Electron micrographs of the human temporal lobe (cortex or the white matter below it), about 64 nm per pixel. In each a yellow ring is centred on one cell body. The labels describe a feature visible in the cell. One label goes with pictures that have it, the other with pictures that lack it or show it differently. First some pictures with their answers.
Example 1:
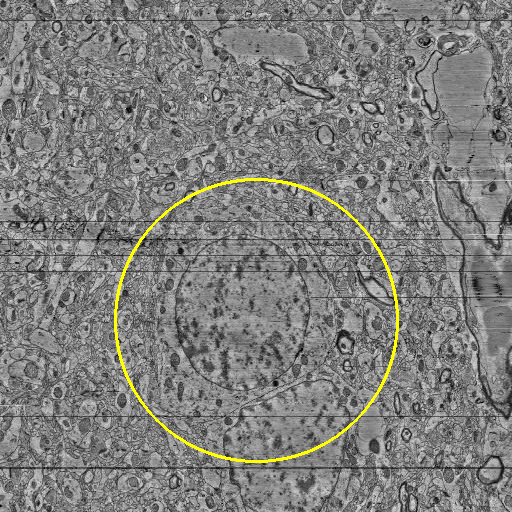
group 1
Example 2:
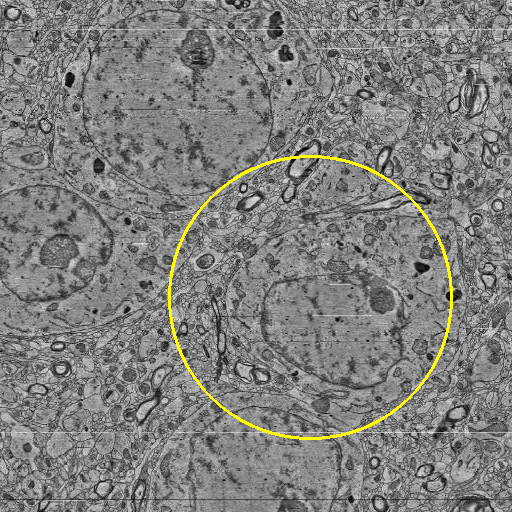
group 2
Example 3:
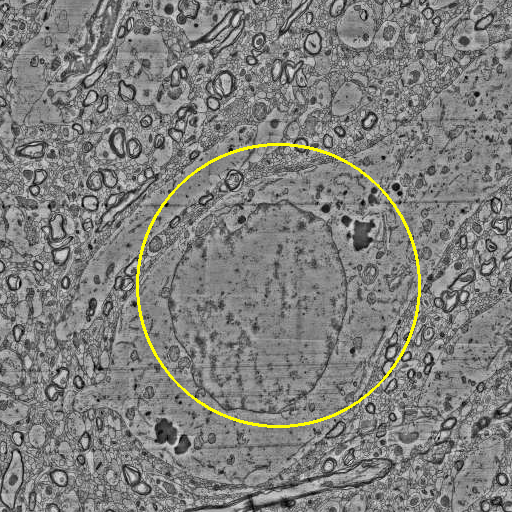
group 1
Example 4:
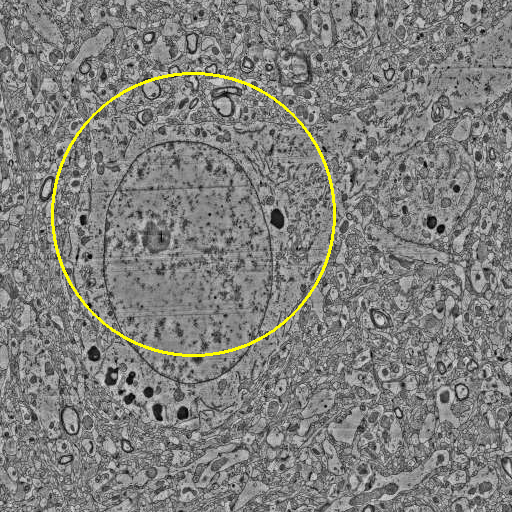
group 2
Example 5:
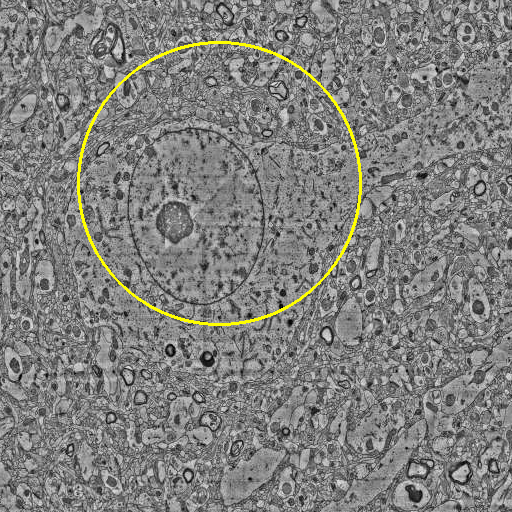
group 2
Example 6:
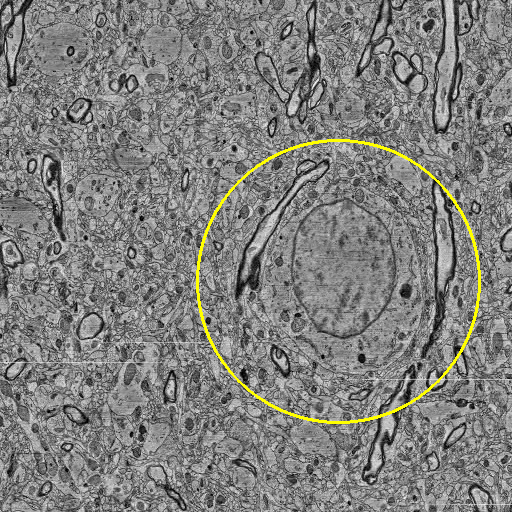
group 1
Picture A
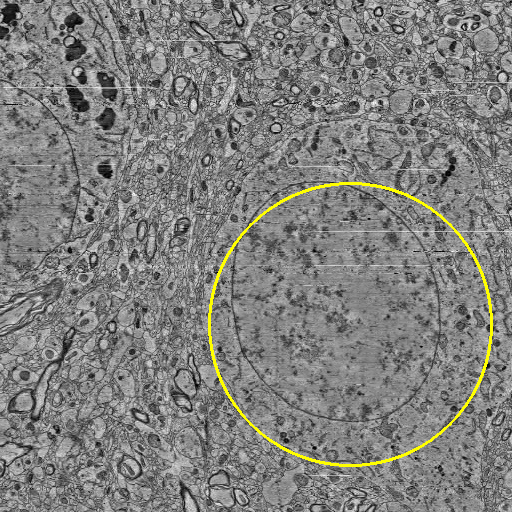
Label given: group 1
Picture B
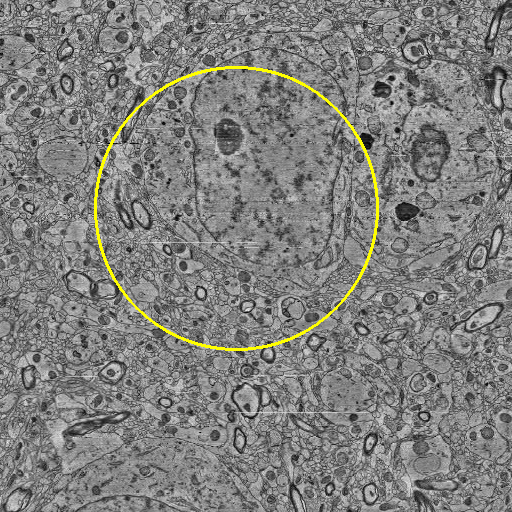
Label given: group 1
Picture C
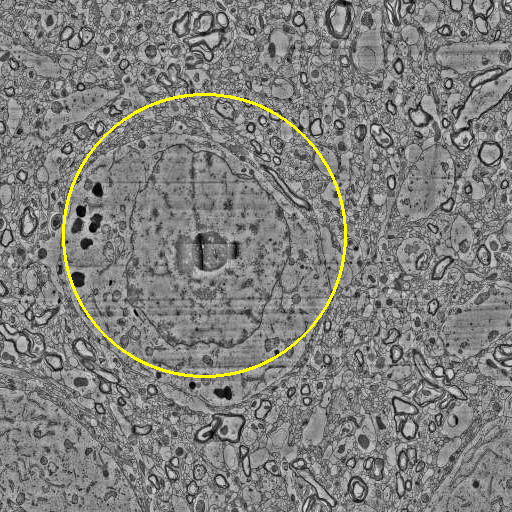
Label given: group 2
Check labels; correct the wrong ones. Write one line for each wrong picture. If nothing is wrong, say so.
B should be group 2, not group 1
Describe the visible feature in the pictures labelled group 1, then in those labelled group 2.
In group 1: no nucleolus seen. In group 2: nucleolus seen.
